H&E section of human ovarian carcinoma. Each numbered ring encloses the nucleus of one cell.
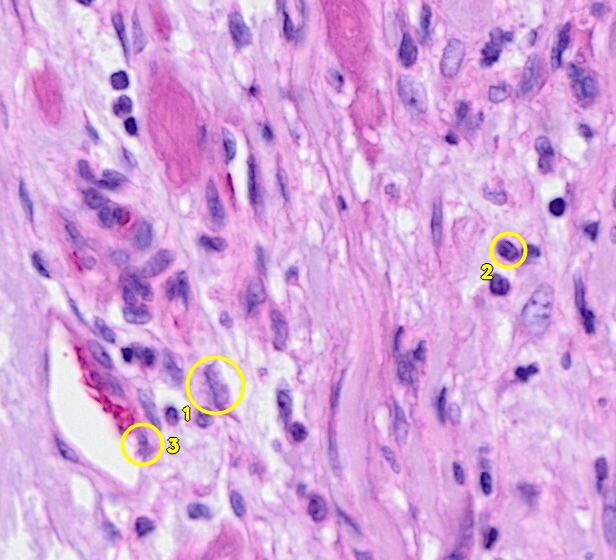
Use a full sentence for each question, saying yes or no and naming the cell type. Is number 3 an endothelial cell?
Yes, in the section, number 3 is an endothelial cell.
